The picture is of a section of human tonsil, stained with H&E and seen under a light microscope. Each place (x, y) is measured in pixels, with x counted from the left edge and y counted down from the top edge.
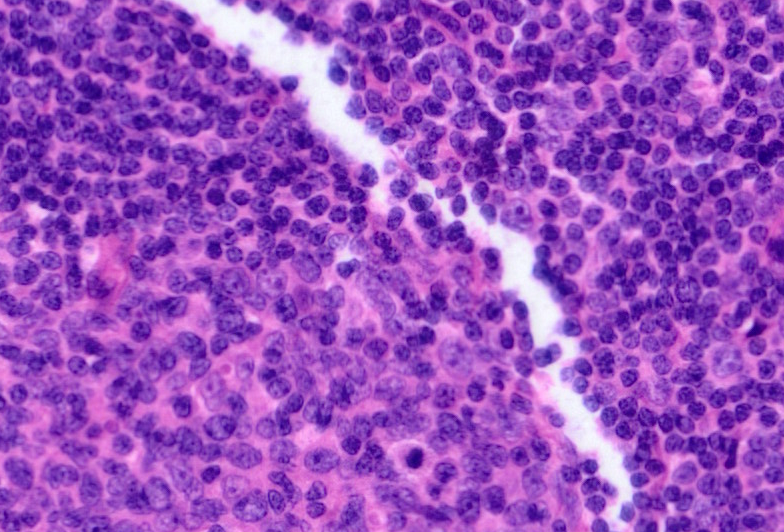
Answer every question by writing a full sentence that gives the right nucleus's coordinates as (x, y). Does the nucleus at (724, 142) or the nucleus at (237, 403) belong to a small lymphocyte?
Among the two nuclei, the one lying at (724, 142) is part of a small lymphocyte.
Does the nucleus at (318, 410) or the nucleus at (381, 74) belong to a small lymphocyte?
The nucleus found at (381, 74) belongs to a small lymphocyte.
